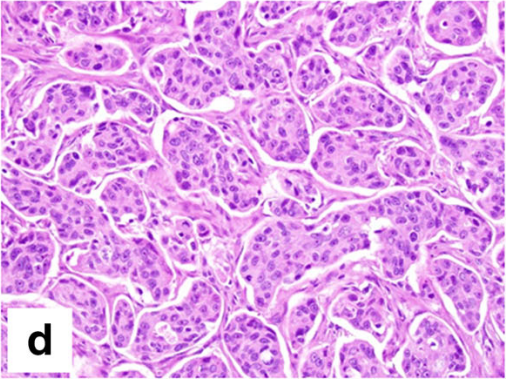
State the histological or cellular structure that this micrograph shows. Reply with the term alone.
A: micropapillary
